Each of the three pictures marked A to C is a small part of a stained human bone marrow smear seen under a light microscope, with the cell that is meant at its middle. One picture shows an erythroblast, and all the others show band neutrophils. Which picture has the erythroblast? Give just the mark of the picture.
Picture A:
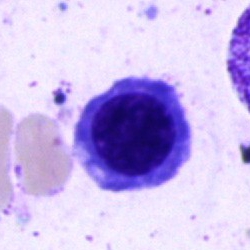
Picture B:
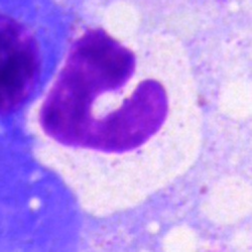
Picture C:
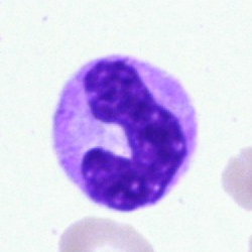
A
